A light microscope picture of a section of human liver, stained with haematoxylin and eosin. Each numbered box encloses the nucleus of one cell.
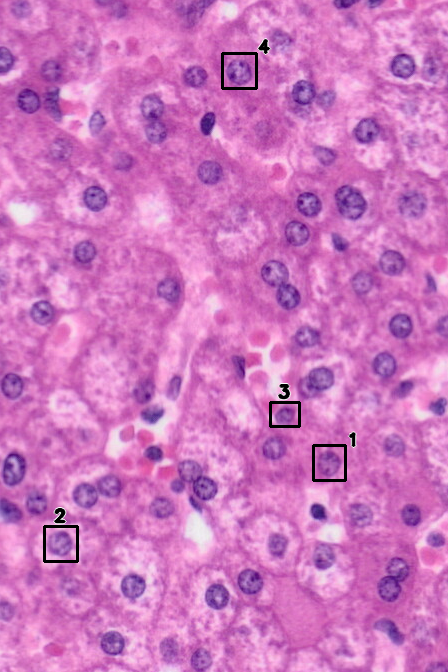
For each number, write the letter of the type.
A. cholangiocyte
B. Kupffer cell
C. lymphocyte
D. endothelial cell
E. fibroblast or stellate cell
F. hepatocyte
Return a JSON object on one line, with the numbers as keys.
{"1": "F", "2": "F", "3": "B", "4": "F"}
